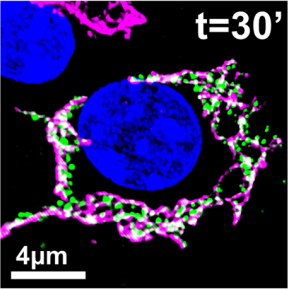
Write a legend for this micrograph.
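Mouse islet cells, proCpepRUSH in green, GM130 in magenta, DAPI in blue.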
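Green signal forms bright puncta that lie largely on and along the magenta ribbon, where the overlap appears whitish. The rest of the cytoplasm is largely free of diffuse green signal.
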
